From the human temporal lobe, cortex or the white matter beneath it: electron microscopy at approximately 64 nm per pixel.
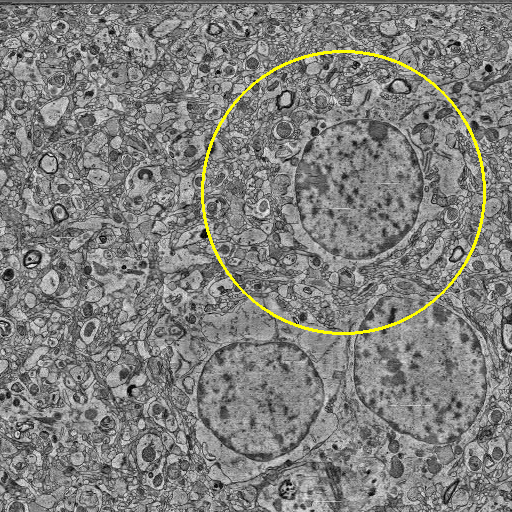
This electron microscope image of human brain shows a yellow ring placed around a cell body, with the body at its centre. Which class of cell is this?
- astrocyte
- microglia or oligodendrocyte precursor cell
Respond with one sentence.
The cell body at the ring's centre is an astrocyte.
